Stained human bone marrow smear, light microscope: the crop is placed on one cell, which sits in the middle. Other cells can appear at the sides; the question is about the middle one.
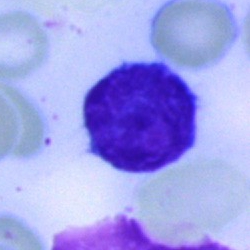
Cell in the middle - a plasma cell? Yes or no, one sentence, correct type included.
No, the cell in the middle is recognised as a lymphocyte rather than a plasma cell.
